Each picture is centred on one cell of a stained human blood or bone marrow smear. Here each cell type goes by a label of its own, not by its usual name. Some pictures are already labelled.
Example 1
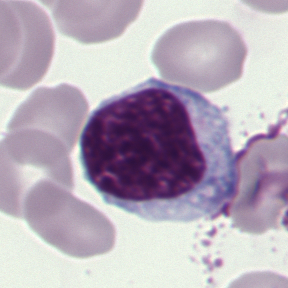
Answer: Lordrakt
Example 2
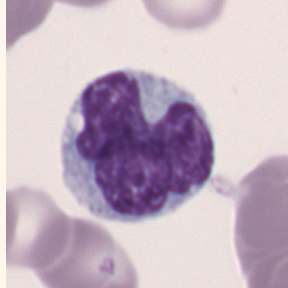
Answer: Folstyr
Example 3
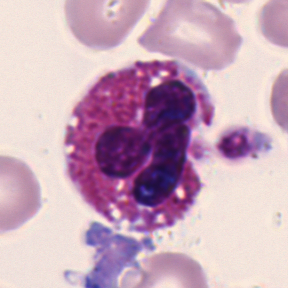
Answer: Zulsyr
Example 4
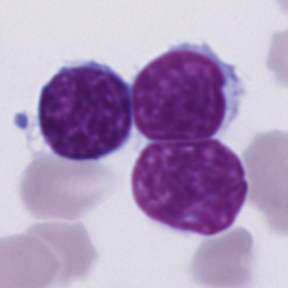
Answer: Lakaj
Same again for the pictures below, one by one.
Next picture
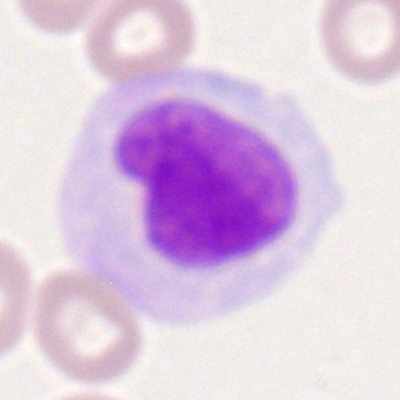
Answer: Folstyr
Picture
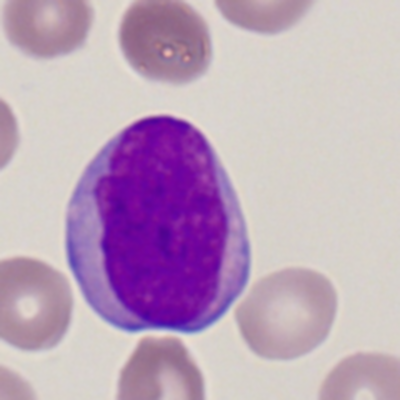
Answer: Lakaj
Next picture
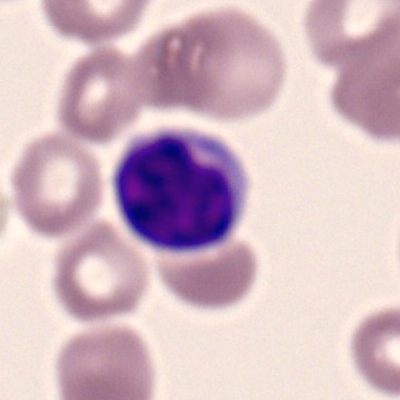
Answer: Lordrakt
